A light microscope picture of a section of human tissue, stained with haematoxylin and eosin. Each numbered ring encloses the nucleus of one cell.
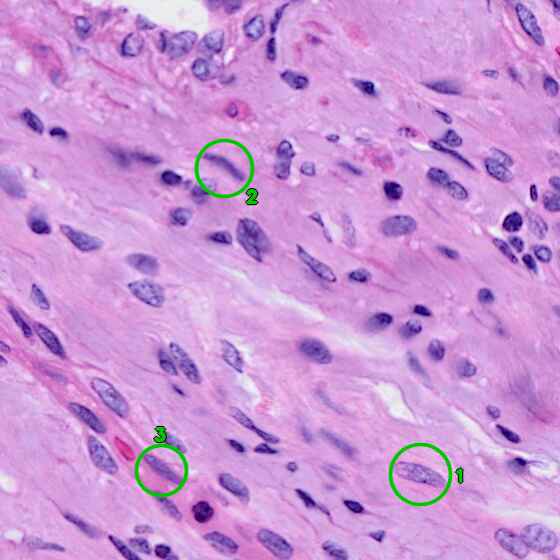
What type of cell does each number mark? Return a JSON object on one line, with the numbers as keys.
{"1": "smooth muscle cell", "2": "fibroblast", "3": "endothelial cell"}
